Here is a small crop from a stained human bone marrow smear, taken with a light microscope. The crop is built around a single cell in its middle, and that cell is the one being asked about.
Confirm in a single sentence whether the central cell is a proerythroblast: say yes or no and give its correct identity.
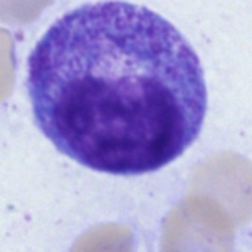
No, the middle cell is classified as a promyelocyte and not as a proerythroblast.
